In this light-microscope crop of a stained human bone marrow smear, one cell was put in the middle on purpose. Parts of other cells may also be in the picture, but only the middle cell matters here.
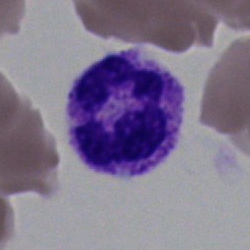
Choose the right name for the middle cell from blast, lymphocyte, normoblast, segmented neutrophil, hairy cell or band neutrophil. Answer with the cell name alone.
segmented neutrophil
